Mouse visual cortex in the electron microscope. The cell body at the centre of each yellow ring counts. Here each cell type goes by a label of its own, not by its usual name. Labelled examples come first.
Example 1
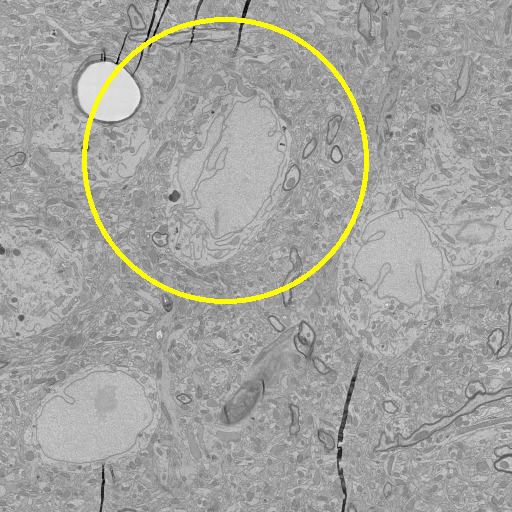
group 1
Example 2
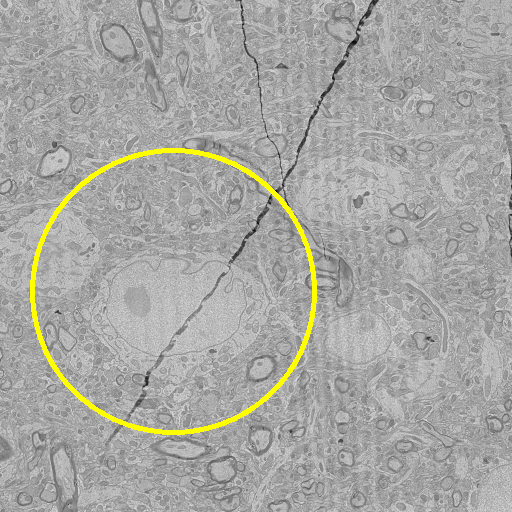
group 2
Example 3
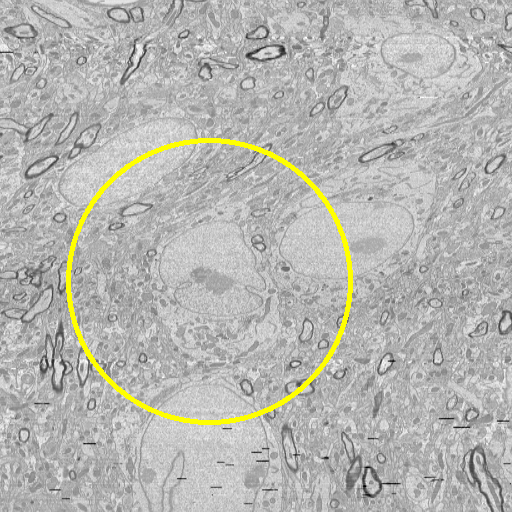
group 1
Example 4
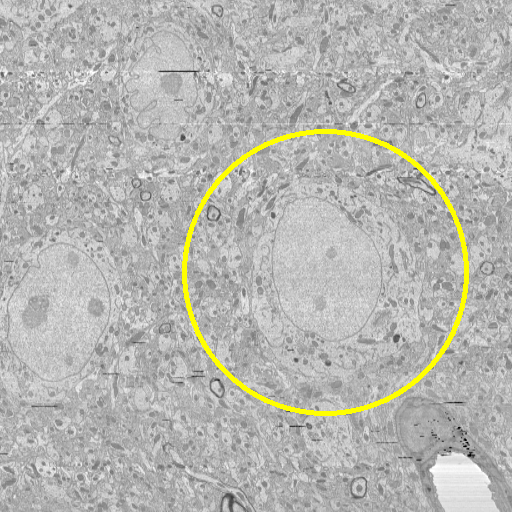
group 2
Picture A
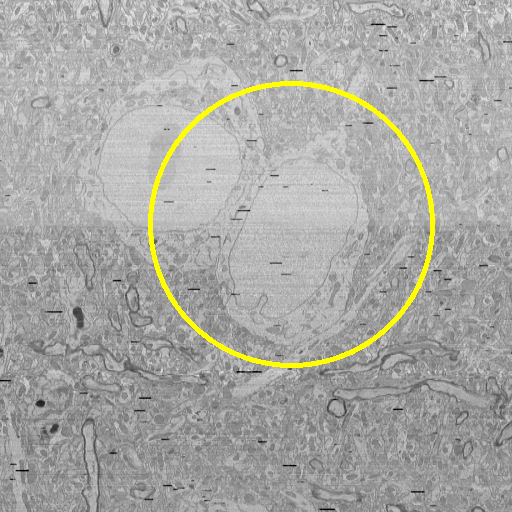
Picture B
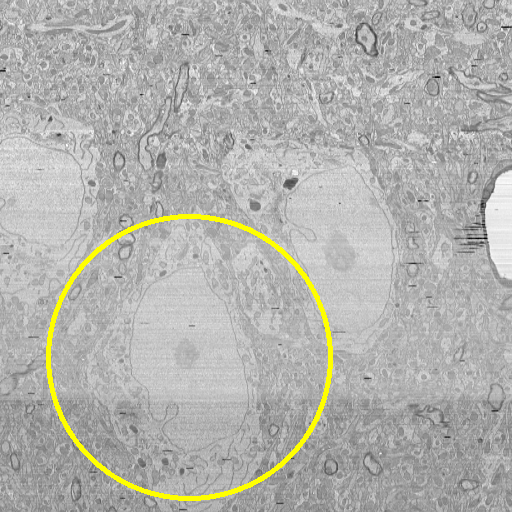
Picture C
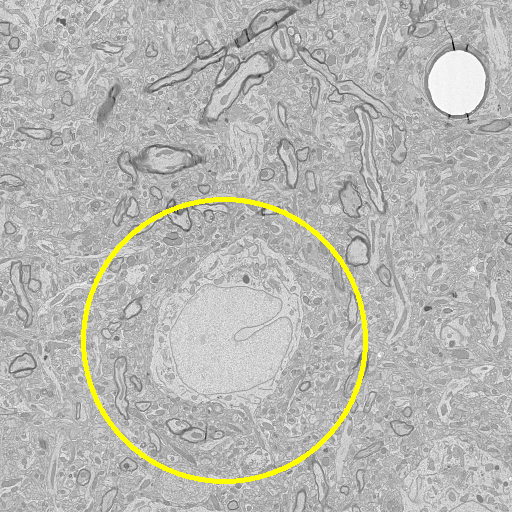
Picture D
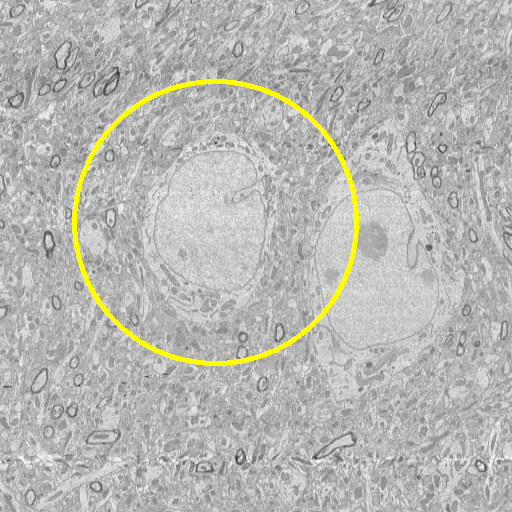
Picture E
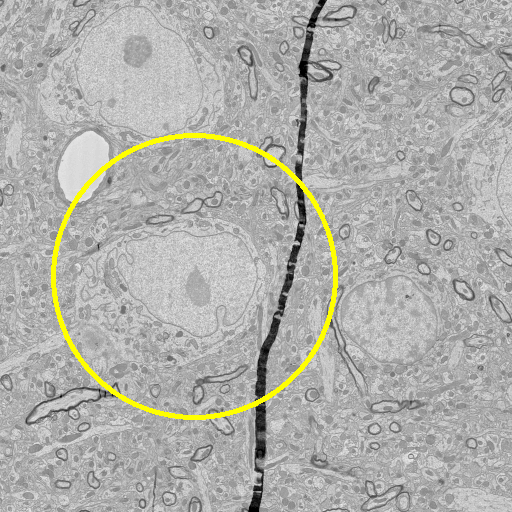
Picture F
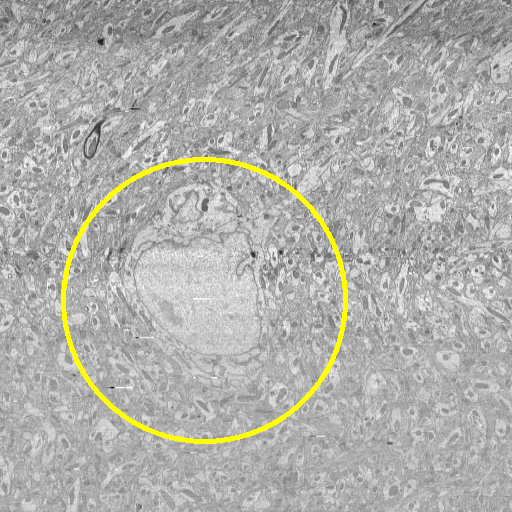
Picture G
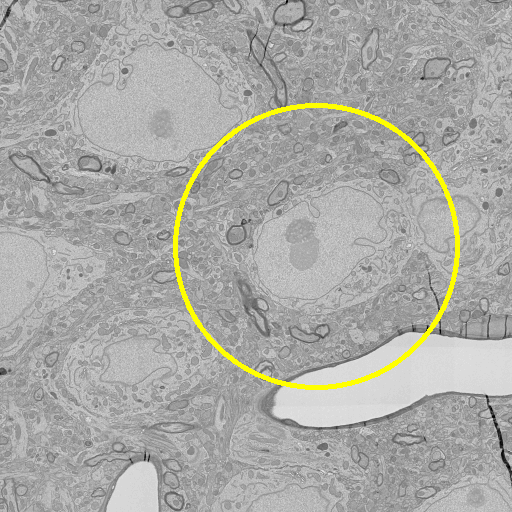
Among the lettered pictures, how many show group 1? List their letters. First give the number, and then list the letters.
Count: 4 (D, E, F, G)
